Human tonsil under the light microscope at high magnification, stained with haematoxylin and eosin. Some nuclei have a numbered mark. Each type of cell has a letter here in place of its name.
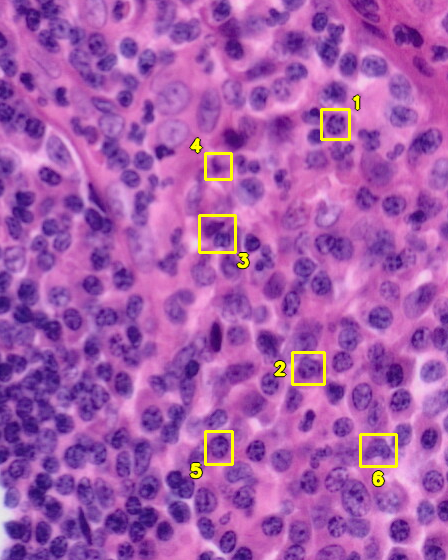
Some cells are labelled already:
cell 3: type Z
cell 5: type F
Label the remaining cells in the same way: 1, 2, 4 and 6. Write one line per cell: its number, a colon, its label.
1: type F
2: type F
4: type Z
6: type Z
